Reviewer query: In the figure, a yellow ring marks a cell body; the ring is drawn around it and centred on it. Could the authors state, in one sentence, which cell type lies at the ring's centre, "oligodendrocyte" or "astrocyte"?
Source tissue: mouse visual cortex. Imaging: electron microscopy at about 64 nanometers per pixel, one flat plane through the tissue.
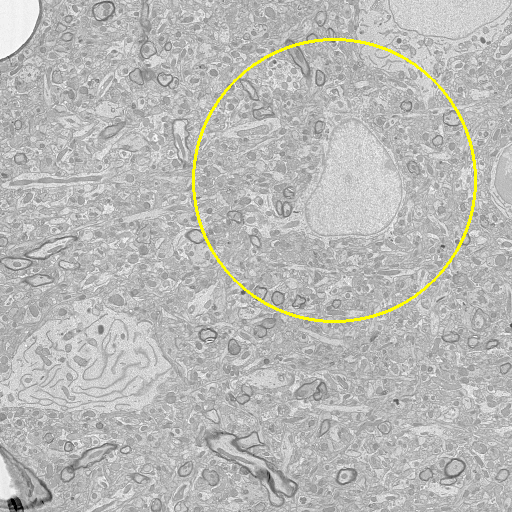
The ring is centred on an astrocyte.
